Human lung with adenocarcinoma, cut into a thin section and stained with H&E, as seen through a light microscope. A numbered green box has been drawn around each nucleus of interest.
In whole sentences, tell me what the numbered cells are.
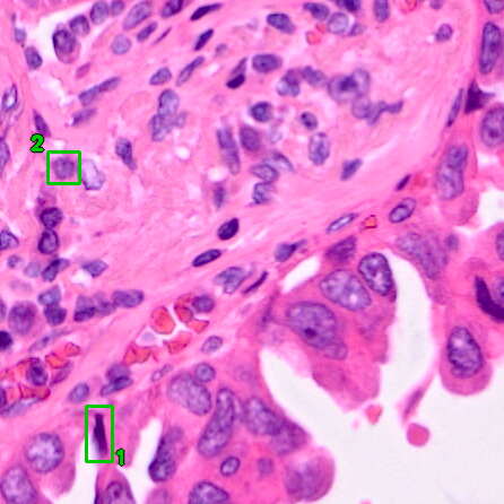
Cell 1 is a carcinoma cell and cell 2 is a plasma cell.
